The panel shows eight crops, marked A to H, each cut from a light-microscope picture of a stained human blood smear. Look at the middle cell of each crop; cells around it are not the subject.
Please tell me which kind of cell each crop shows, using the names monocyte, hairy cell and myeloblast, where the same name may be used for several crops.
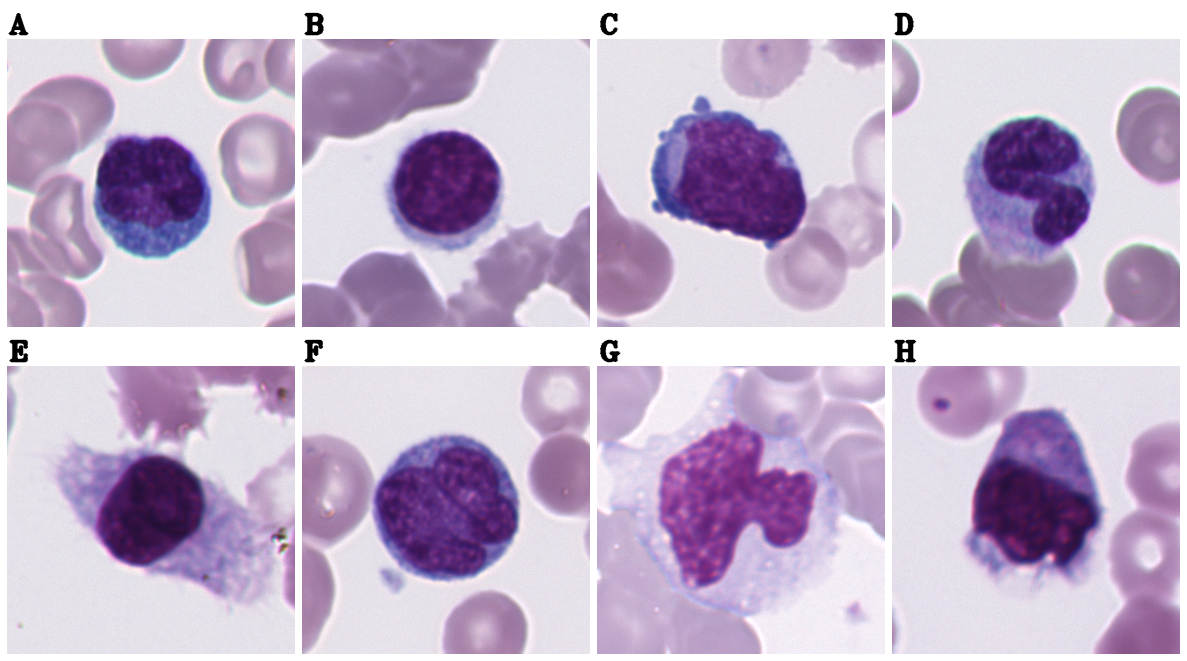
A: monocyte
B: hairy cell
C: myeloblast
D: monocyte
E: hairy cell
F: monocyte
G: monocyte
H: monocyte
